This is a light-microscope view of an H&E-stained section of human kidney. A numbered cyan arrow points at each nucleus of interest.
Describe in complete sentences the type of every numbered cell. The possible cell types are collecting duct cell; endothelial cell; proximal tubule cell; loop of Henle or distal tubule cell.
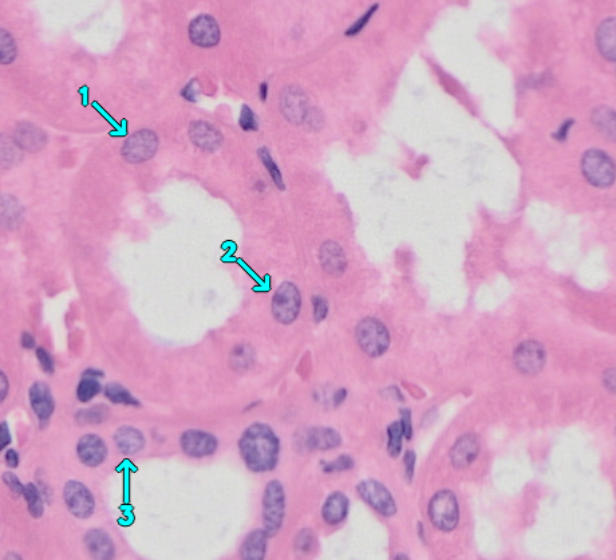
Cell 1 is a proximal tubule cell, cell 2 is a proximal tubule cell and cell 3 is a collecting duct cell.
